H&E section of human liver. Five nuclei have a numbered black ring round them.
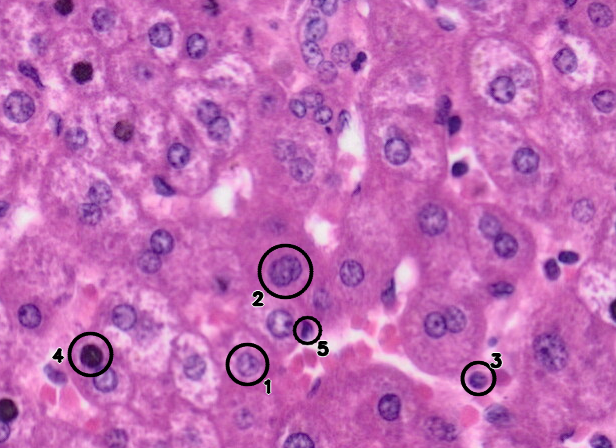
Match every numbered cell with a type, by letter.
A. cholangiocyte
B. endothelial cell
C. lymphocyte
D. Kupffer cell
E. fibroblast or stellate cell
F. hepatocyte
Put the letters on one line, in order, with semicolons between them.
F; F; C; F; E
